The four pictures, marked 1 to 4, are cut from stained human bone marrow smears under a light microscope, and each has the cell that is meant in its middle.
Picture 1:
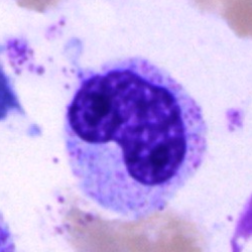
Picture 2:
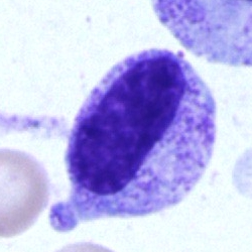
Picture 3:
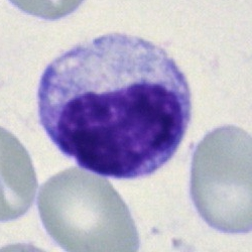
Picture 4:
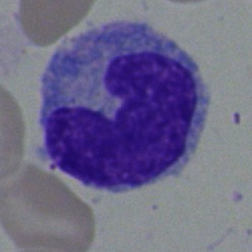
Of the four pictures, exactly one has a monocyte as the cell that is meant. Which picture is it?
4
